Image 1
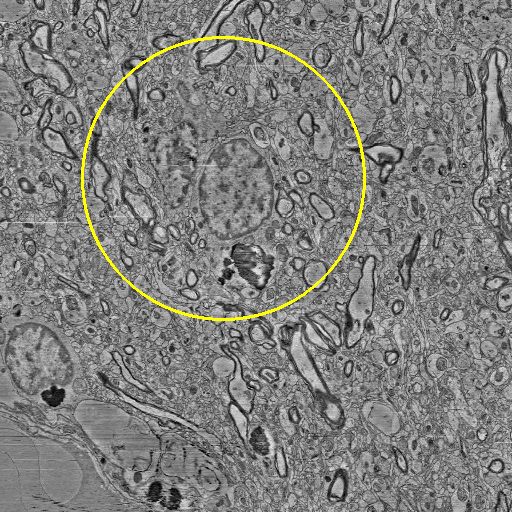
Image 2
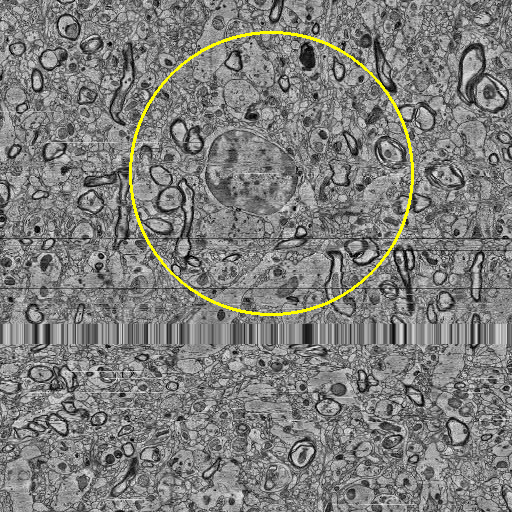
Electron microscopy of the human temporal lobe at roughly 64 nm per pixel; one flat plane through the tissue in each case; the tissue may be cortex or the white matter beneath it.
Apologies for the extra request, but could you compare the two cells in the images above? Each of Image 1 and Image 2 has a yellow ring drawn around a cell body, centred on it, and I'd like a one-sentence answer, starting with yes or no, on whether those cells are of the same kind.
No, the two cells are of two kinds.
